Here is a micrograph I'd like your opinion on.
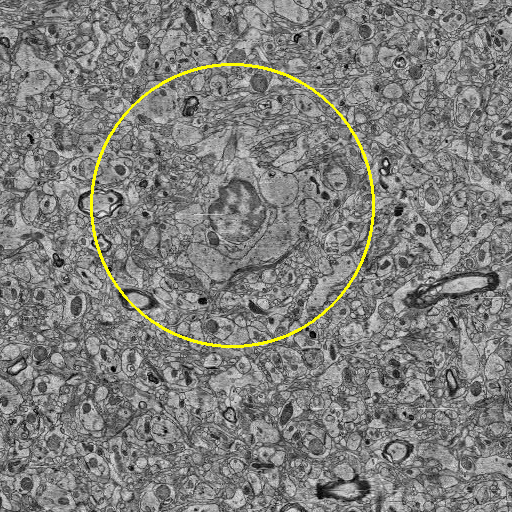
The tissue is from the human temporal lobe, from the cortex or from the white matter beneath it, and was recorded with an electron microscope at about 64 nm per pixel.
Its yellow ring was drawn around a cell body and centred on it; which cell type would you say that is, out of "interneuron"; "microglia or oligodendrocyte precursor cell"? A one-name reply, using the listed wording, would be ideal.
microglia or oligodendrocyte precursor cell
